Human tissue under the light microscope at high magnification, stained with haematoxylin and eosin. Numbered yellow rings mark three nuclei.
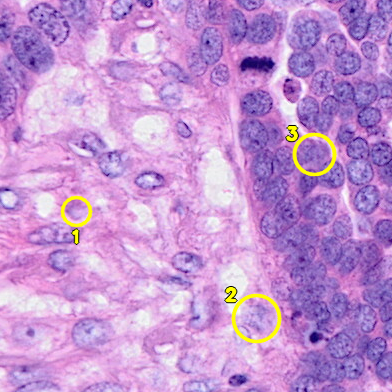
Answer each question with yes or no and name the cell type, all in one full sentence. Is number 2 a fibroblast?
Yes, the cell bearing the number 2 is a fibroblast.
